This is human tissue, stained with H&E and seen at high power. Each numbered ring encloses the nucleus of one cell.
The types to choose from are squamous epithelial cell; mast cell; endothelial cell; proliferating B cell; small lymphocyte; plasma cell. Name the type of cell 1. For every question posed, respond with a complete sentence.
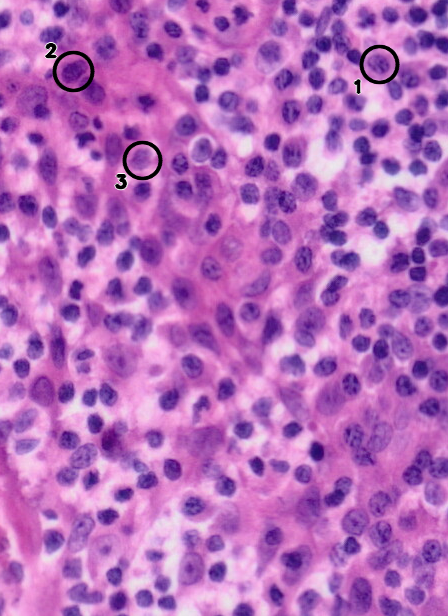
The marked nucleus 1 is that of a plasma cell.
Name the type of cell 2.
The one labeled 2 is a squamous epithelial cell, to put it simply.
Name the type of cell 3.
Number 3 is placed on a squamous epithelial cell here.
